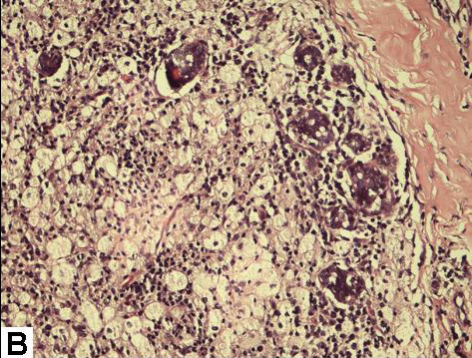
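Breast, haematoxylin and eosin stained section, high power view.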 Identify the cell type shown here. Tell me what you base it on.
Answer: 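Many large rounded cells with abundant pale, foamy to clear cytoplasm fill the field. These pale cells crowd between small dark-staining epithelial clusters. That points to this answer: macrophages.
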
